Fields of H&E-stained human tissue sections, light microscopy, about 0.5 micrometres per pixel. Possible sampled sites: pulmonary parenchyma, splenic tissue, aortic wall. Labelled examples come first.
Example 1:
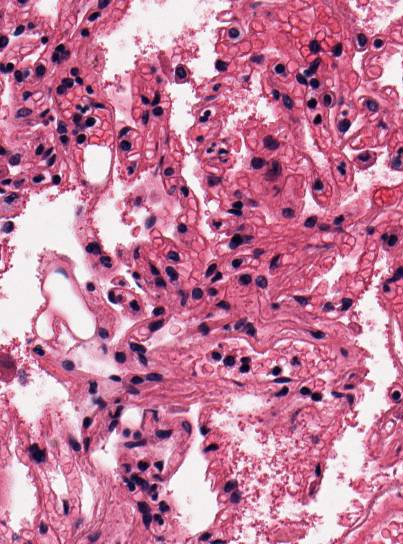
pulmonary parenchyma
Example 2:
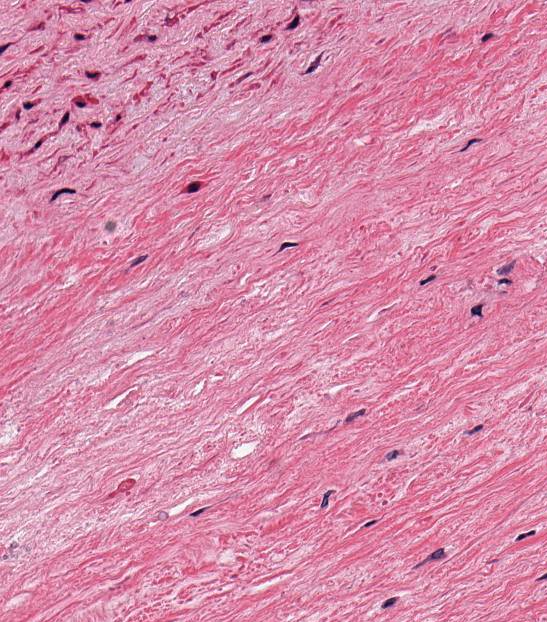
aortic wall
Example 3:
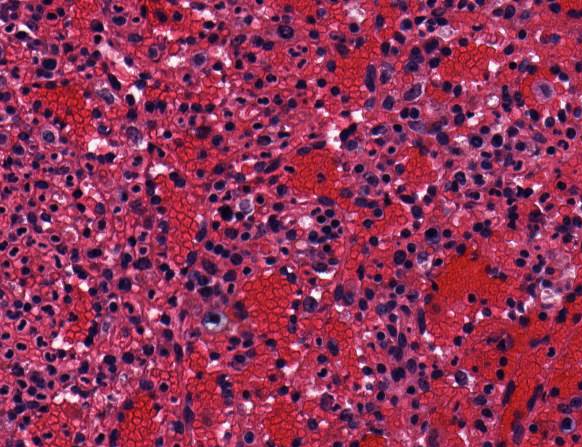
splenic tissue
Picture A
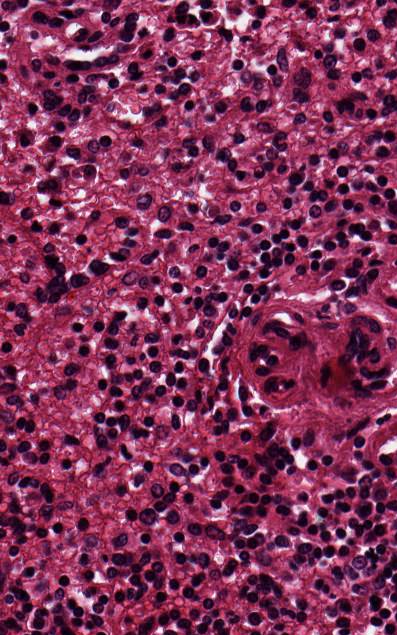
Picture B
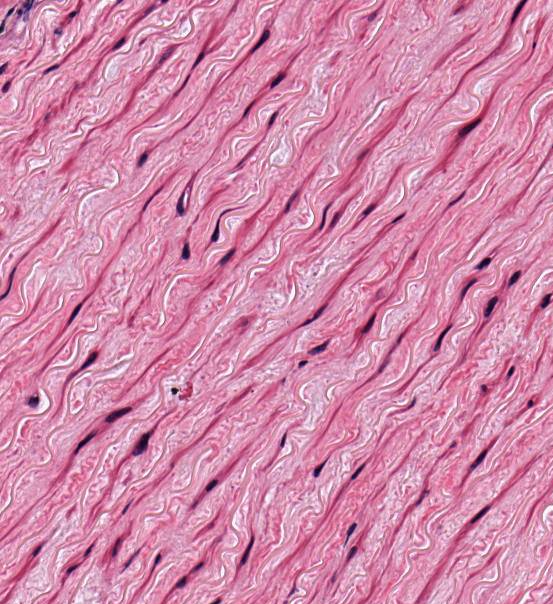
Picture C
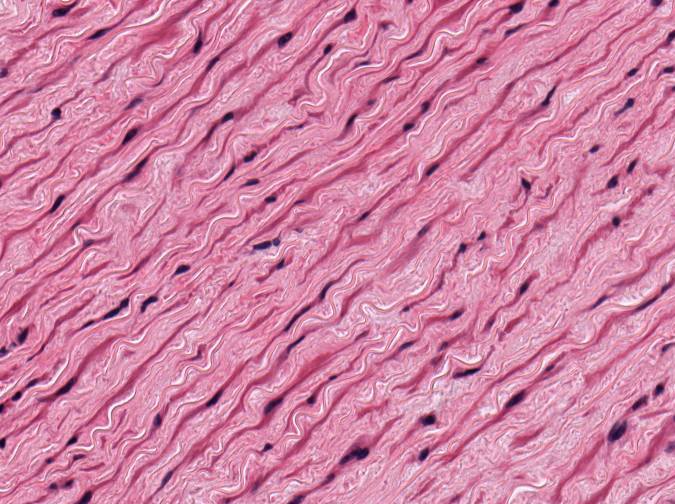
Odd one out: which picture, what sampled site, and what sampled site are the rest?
Exception: A, showing splenic tissue. Remaining pictures: aortic wall.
